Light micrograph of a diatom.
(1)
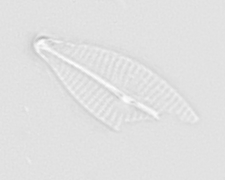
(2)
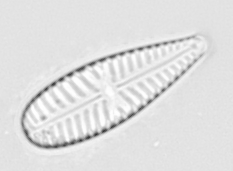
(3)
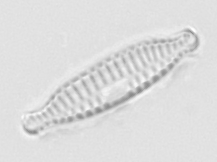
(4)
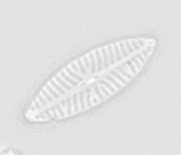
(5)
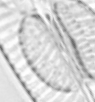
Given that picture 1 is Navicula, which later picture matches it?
4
